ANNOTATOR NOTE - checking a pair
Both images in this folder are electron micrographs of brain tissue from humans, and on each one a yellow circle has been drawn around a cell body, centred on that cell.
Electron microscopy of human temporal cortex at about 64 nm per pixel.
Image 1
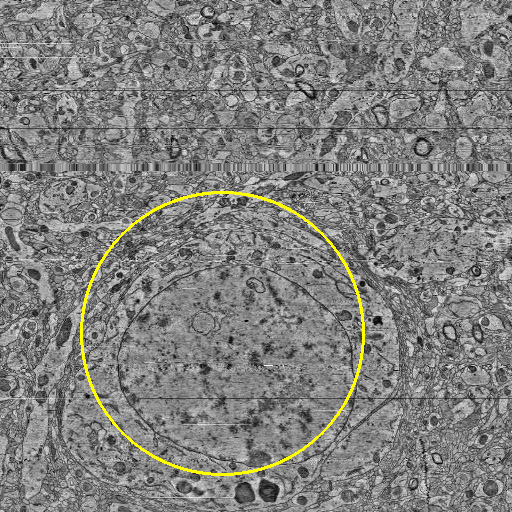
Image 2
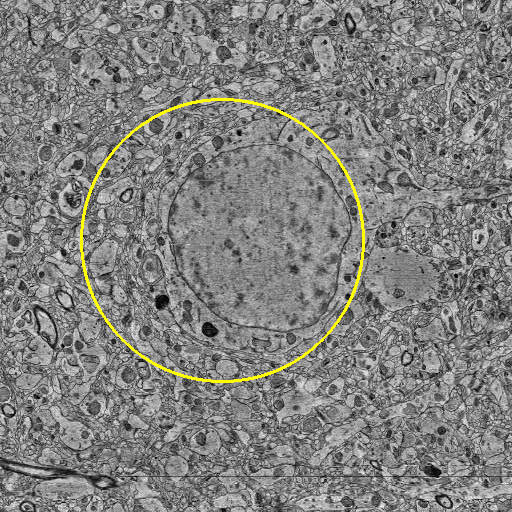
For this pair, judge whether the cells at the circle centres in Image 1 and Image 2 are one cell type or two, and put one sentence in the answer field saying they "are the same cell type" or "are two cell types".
For this pair, the cells at the circle centres in Images 1 and 2 are the same cell type.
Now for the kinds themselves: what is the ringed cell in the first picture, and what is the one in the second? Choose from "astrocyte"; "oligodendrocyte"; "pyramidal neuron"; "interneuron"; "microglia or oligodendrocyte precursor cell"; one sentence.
Each cell at the centre of a ring is a pyramidal neuron.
